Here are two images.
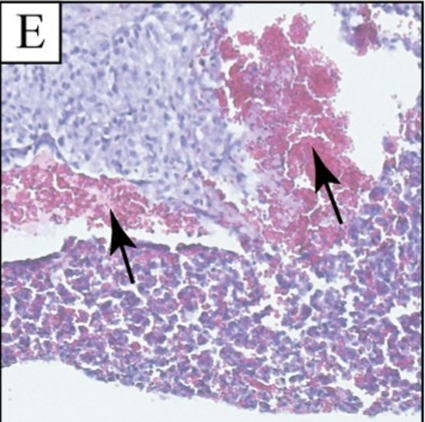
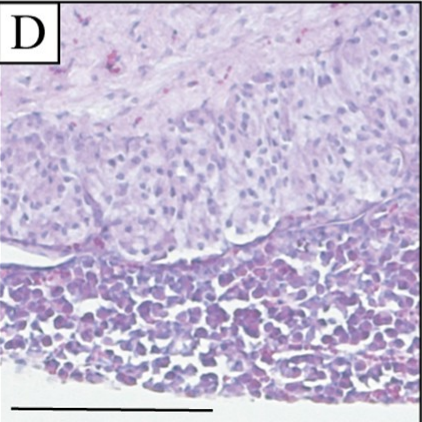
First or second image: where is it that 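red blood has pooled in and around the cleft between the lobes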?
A: the first image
